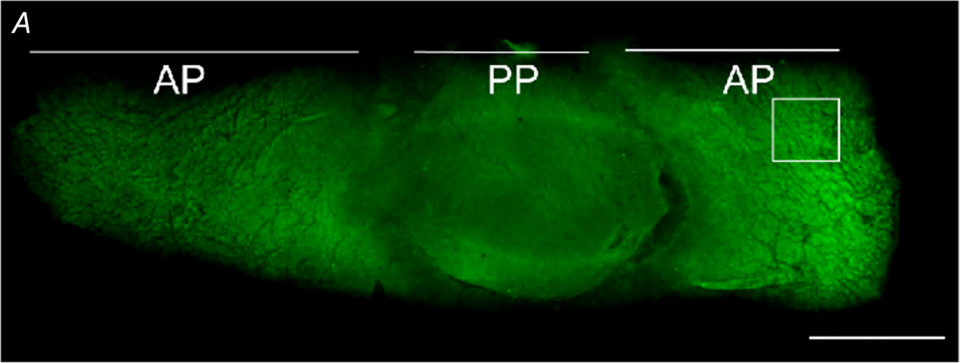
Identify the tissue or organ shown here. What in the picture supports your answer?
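Pituitary gland. An elongated small organ section with a central smoother, more uniformly stained lobe. Flanking lobes on both sides have a finer, more granular cellular texture.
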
